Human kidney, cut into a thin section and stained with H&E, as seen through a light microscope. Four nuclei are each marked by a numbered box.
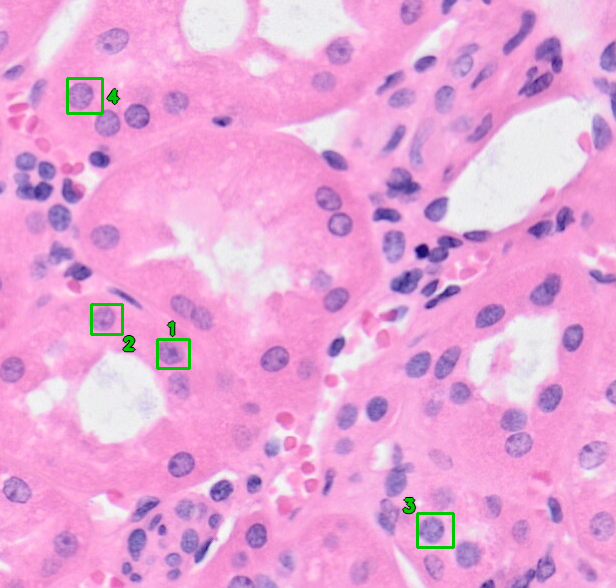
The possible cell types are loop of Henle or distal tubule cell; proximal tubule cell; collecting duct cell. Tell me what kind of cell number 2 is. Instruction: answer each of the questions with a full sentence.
The cell referenced by the number 2 is a proximal tubule cell in this field.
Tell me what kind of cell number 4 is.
The cell numbered 4 represents a proximal tubule cell.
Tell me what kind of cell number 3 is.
Number 3 is placed on a loop of Henle or distal tubule cell here.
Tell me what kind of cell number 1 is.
Recognised here as a proximal tubule cell is the cell numbered 1.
